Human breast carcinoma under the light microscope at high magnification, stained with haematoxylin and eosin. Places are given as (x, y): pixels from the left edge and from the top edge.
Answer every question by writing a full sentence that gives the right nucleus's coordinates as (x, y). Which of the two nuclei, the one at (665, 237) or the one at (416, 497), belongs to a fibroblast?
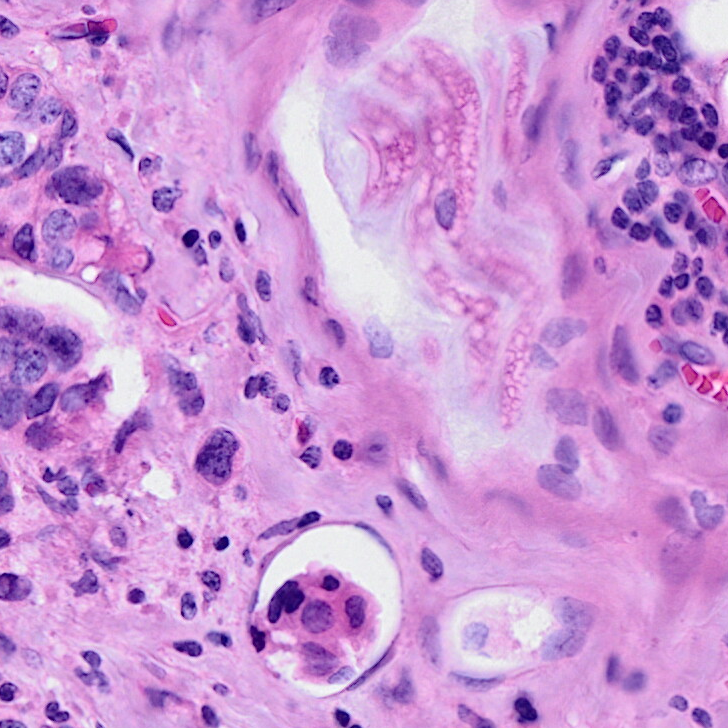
Of the two nuclei present, the one at (416, 497) is within a fibroblast.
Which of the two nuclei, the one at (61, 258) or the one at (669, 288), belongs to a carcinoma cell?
The nucleus contained in a carcinoma cell is the one at (61, 258).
